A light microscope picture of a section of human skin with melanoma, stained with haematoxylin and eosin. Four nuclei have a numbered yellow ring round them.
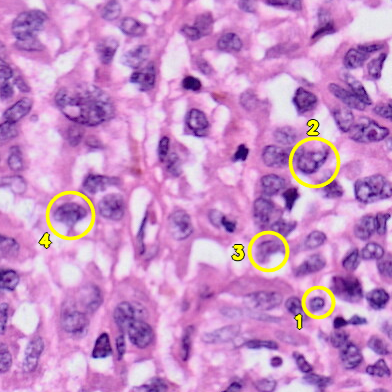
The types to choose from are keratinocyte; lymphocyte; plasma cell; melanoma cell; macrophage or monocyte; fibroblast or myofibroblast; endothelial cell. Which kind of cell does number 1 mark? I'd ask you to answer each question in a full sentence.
The marked cell with the number 1 is recognised as a lymphocyte.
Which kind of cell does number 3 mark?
It is as a melanoma cell that the cell numbered 3 is identified.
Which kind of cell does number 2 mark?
Here, the cell given the number 2 is a melanoma cell.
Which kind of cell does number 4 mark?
Identified as a melanoma cell is the cell bearing the number 4.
